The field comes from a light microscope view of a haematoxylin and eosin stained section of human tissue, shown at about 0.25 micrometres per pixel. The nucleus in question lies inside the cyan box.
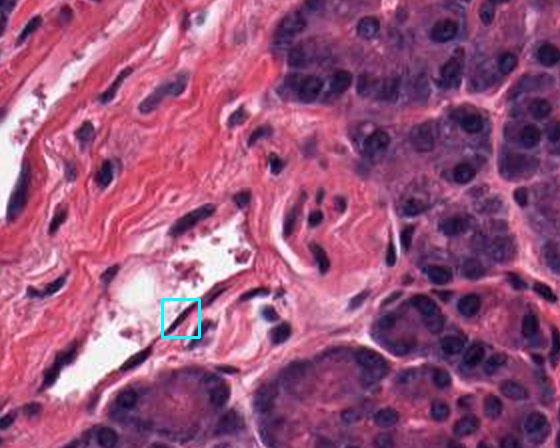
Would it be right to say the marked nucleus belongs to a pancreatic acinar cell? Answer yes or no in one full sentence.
No, the marked nucleus belongs to a supporting cell of connective tissue, a vessel or the immune system, not to a pancreatic acinar cell.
